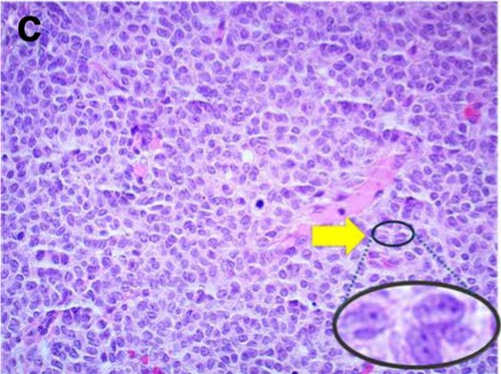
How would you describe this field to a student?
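Sheets of tumor cells of uniform size with ovoid to polygonal shape and scant pale cytoplasm are packed closely together. Their oval nuclei are pale purple, and the enlarged inset shows nuclei with a longitudinal groove, giving a coffee-bean look. A thin strand of pink stroma with a small vessel crosses the field.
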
